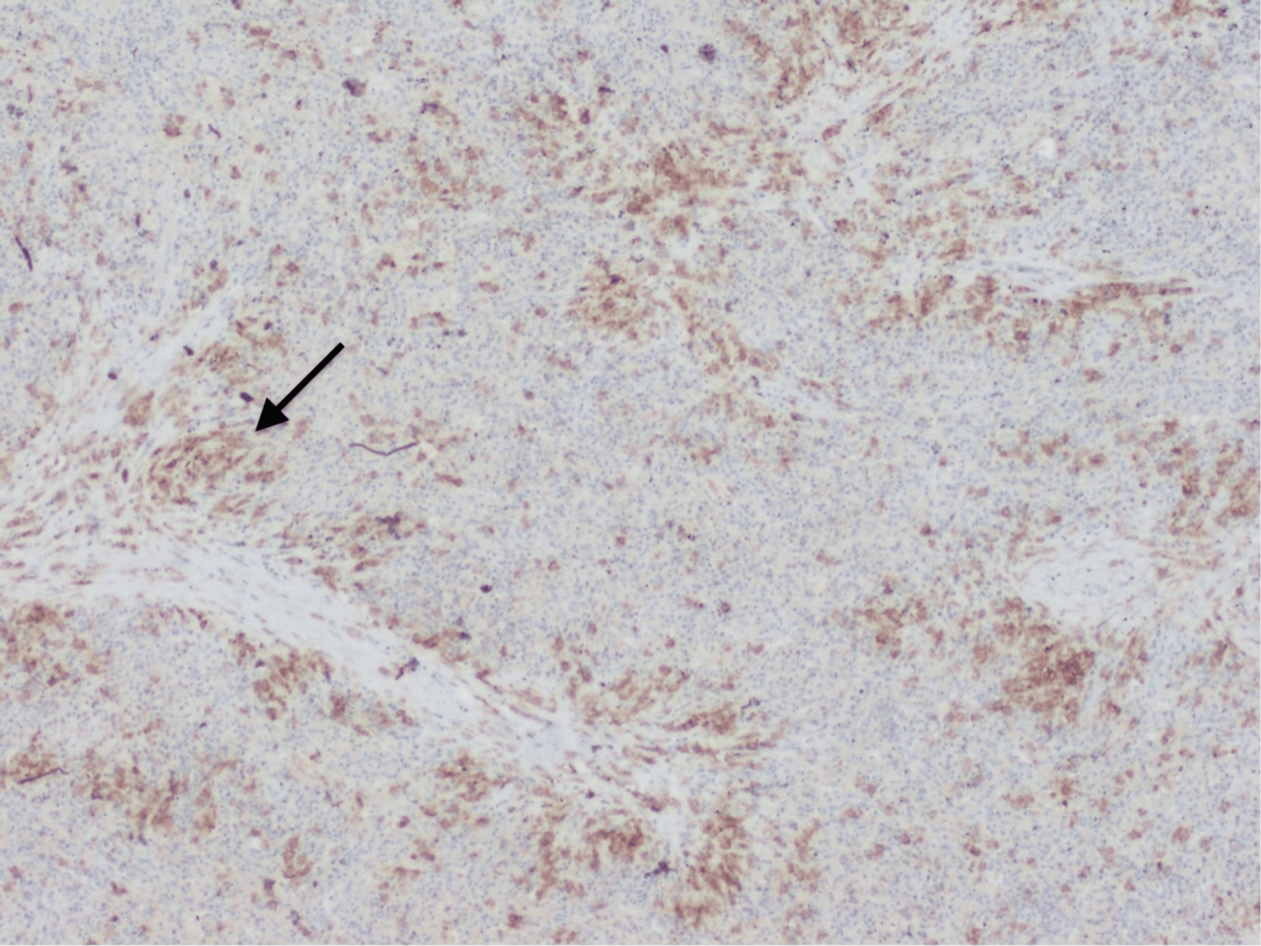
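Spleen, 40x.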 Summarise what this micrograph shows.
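The background is a dense sheet of small cells whose nuclei are lightly counterstained blue. Brown-stained cells stand out against this background. Some lie singly, and others gather into loose, patchy clusters. Many of these cells are elongated or spindle-shaped, and they often line up along the edges of the fibrous bands. The arrow marks one such dense brown aggregate beside a fibrous band. The spread is uneven, with crowded patches next to almost unstained areas.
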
